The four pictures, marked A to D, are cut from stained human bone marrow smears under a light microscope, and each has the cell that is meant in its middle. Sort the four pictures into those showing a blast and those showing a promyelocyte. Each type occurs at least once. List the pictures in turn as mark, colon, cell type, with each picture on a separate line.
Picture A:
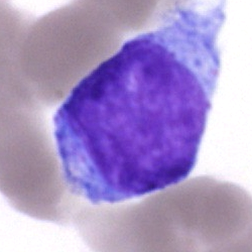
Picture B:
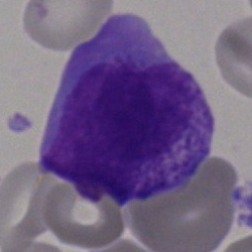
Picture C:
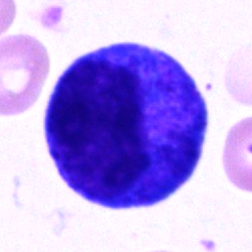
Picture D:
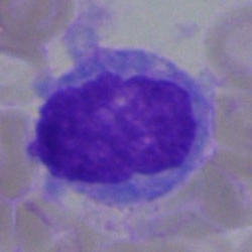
A: blast
B: blast
C: promyelocyte
D: promyelocyte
